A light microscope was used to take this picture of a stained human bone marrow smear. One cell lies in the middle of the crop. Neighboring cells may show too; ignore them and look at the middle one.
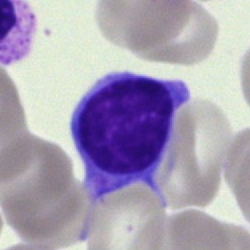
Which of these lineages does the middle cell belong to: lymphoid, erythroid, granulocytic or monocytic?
lymphoid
